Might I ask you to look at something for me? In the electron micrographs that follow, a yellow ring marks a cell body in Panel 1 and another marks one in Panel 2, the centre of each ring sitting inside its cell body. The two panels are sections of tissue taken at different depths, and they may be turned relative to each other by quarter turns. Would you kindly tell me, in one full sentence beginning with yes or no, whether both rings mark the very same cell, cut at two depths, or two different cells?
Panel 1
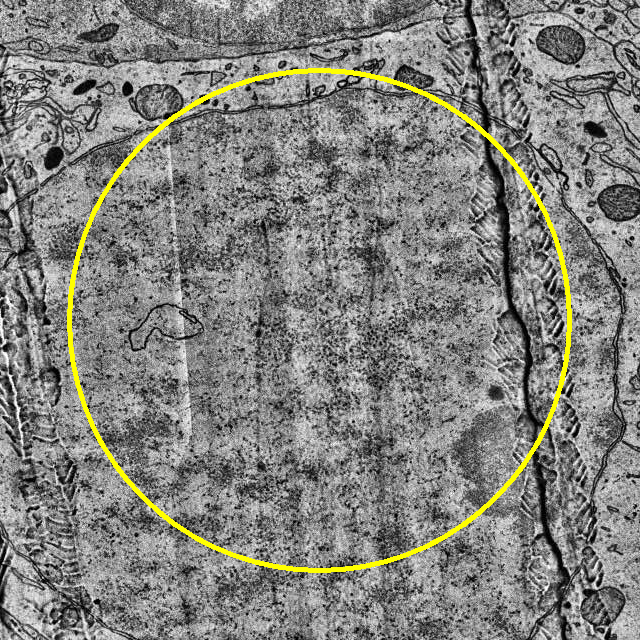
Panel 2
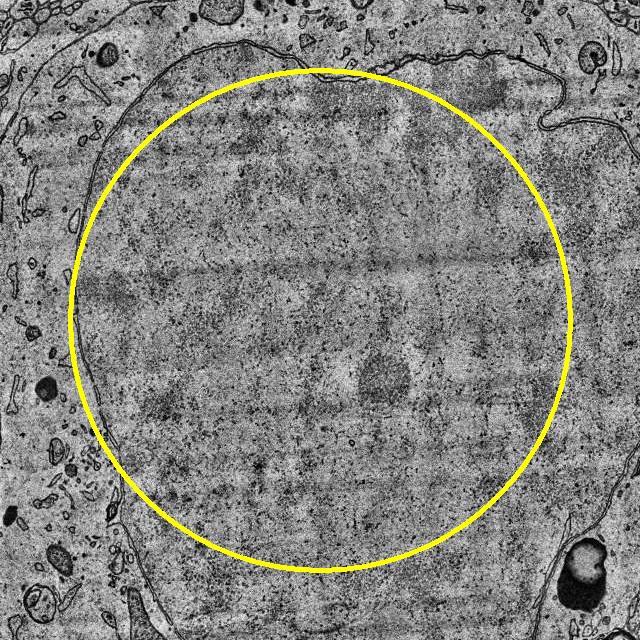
Yes, the second ring marks the same cell as the first.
